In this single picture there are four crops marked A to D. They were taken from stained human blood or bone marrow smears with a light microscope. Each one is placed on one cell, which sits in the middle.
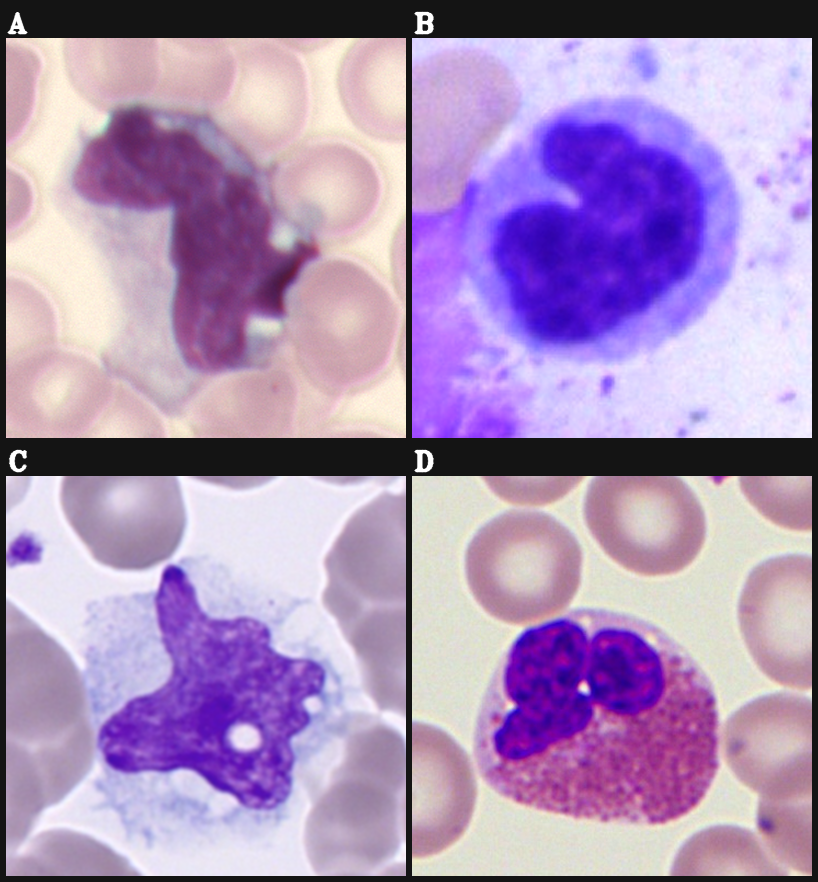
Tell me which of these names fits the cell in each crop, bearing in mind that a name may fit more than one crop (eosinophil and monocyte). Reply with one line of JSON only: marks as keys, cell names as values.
{"A": "monocyte", "B": "monocyte", "C": "monocyte", "D": "eosinophil"}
